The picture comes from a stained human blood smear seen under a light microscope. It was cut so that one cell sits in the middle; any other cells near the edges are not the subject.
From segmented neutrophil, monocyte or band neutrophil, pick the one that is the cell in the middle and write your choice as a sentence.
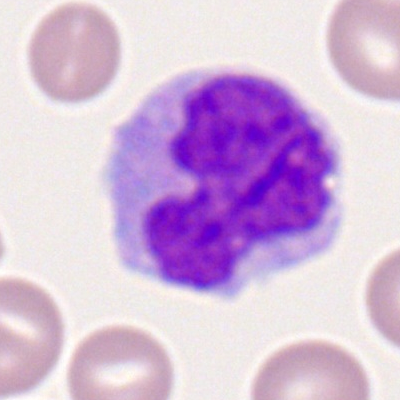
Located at the centre of the crop is a monocyte.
